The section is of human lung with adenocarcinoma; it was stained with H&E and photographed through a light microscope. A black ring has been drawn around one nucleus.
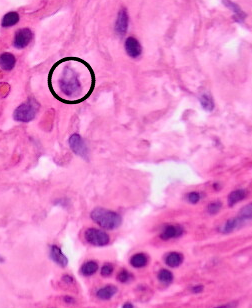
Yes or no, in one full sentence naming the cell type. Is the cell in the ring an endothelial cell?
No, the cell in the ring counts as a fibroblast rather than as an endothelial cell.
